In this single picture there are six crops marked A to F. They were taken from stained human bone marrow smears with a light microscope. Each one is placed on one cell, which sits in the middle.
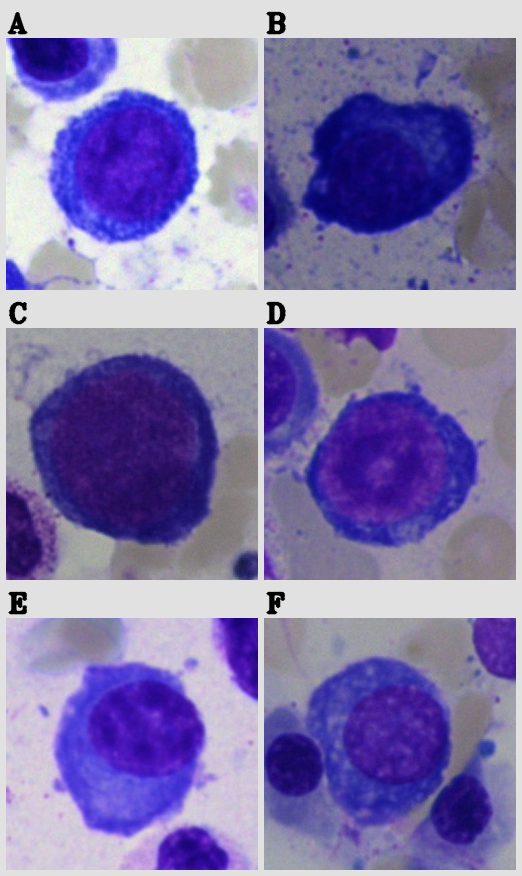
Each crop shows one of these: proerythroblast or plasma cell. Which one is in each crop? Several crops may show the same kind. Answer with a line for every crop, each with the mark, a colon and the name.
A: proerythroblast
B: plasma cell
C: proerythroblast
D: proerythroblast
E: plasma cell
F: plasma cell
